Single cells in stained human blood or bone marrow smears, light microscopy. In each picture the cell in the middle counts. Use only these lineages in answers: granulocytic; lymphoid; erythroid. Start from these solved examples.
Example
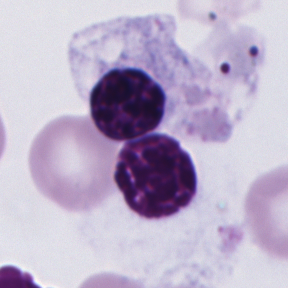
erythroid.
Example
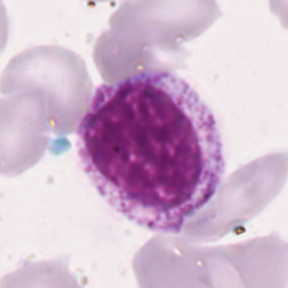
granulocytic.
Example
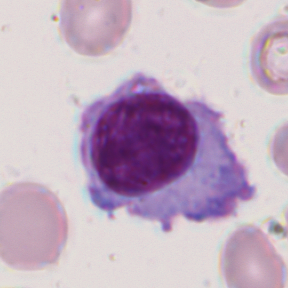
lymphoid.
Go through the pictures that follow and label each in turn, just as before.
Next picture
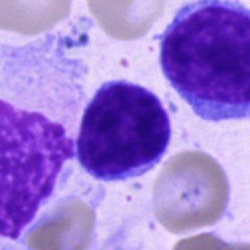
lymphoid.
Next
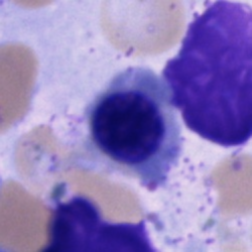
erythroid.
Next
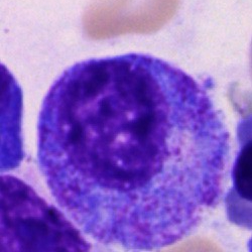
granulocytic.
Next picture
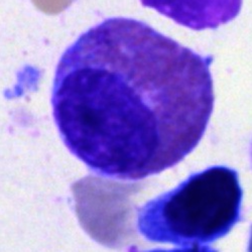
granulocytic.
